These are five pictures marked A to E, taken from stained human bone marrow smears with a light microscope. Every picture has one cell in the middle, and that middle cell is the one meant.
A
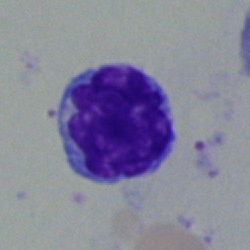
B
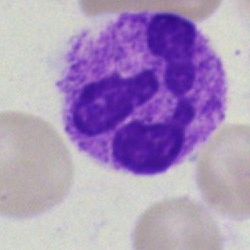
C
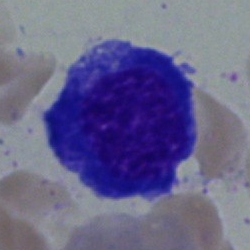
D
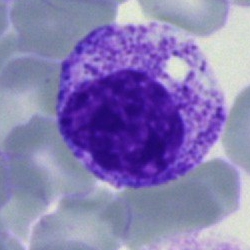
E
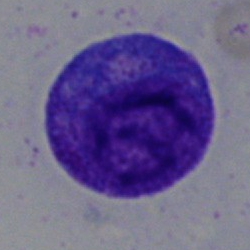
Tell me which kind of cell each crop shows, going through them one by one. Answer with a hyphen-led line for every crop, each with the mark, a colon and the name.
- A: lymphocyte
- B: segmented neutrophil
- C: proerythroblast
- D: myelocyte
- E: promyelocyte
